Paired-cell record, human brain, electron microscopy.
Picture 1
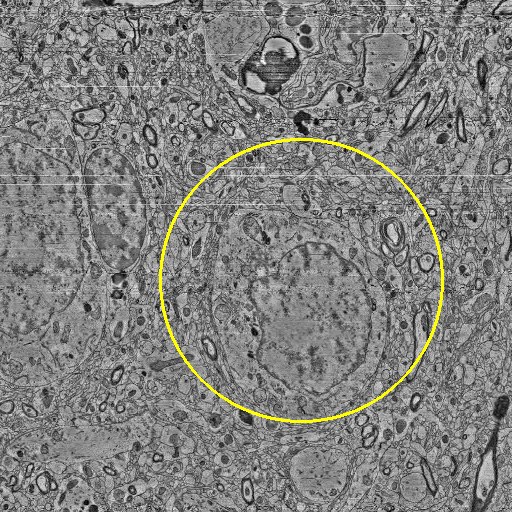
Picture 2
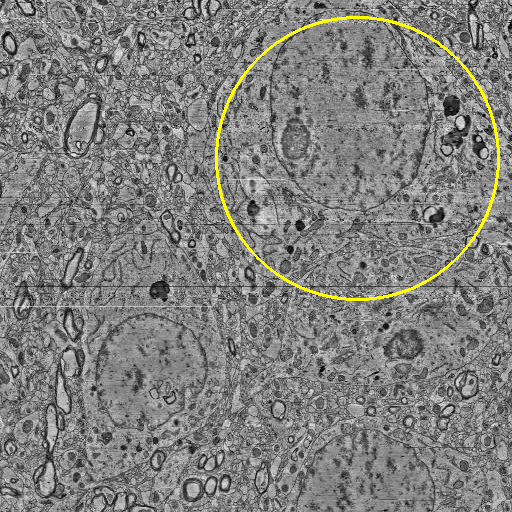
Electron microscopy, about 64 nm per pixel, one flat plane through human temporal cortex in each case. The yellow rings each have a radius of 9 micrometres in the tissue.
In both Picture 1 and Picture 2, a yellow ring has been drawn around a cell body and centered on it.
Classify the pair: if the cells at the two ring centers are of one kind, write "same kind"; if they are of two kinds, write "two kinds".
same kind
